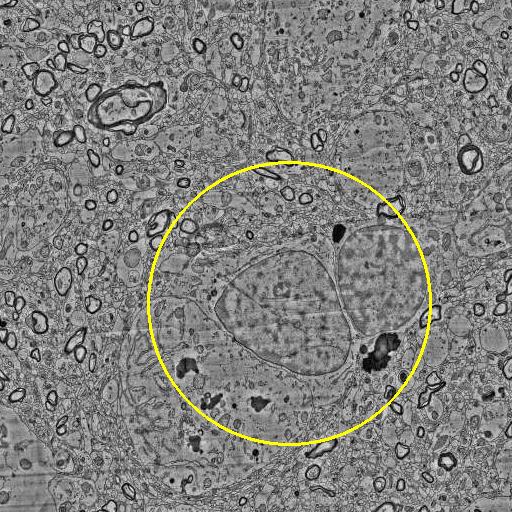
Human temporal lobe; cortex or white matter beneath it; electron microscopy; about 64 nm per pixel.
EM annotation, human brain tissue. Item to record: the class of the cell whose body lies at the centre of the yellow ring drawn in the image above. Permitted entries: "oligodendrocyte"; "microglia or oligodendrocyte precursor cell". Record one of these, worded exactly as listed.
microglia or oligodendrocyte precursor cell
